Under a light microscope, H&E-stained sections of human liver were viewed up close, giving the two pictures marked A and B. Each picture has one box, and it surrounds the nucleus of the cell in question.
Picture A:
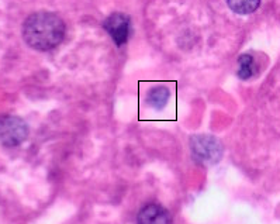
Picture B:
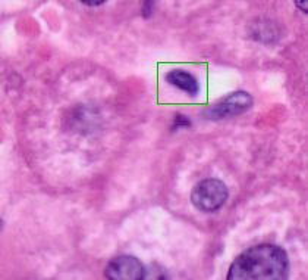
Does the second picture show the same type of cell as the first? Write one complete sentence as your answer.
Yes; the cells in both pictures are lymphocytes.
